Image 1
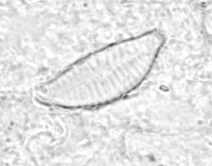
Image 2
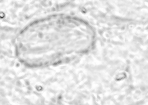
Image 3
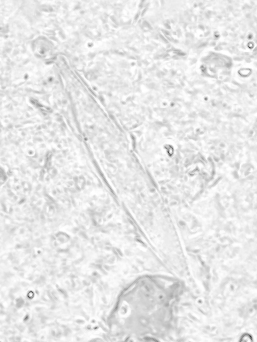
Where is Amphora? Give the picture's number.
2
